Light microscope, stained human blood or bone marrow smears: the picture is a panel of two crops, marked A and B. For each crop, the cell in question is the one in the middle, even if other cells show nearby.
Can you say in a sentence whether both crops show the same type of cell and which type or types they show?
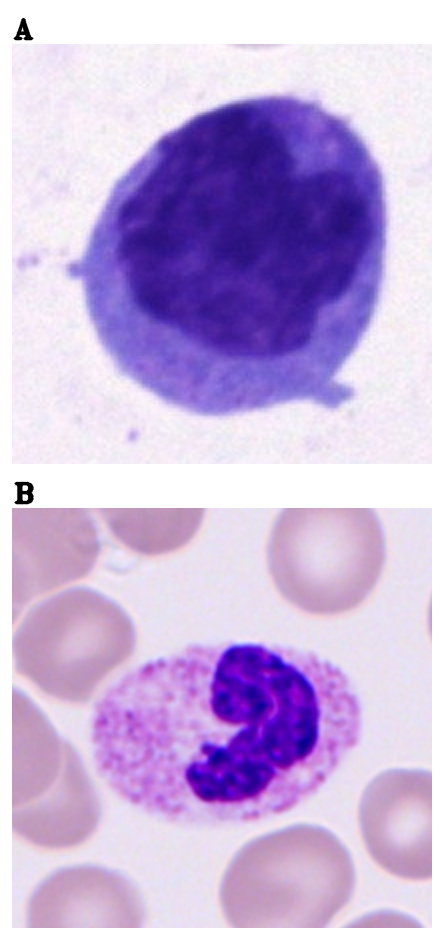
No, a monocyte is shown in crop A and a band neutrophil in crop B.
